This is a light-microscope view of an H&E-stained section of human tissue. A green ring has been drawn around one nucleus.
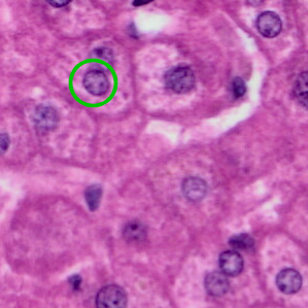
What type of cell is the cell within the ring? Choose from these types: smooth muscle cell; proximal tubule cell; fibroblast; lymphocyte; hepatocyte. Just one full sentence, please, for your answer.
In this field of tissue, the cell within the ring is a hepatocyte.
